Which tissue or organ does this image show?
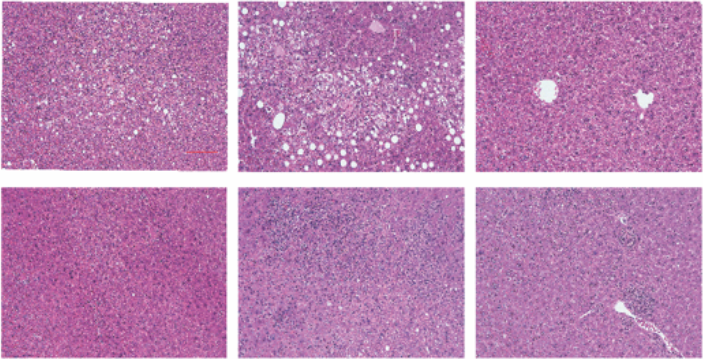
Liver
